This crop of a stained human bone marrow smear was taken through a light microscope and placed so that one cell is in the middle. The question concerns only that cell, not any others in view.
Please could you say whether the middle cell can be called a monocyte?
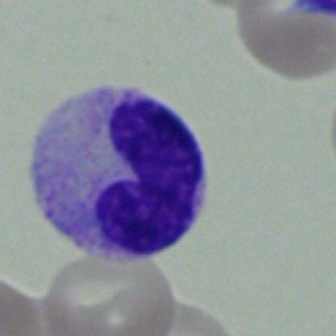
no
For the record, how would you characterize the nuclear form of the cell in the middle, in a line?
If you check the nucleus, you will find one compact mass, round, oval or kidney-shaped.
